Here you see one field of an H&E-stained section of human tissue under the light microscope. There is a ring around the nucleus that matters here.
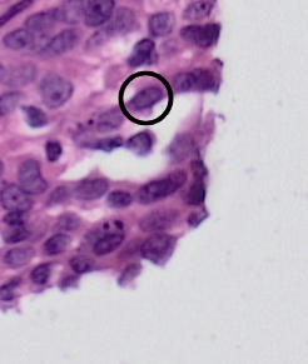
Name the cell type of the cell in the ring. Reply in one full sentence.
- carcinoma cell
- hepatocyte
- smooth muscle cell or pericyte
Typologically, the cell in the ring is a carcinoma cell in this section.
